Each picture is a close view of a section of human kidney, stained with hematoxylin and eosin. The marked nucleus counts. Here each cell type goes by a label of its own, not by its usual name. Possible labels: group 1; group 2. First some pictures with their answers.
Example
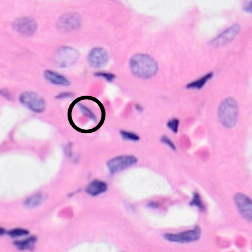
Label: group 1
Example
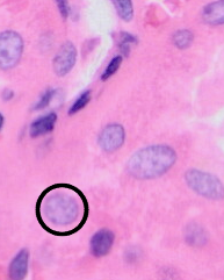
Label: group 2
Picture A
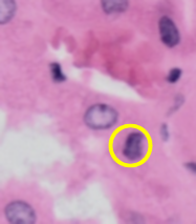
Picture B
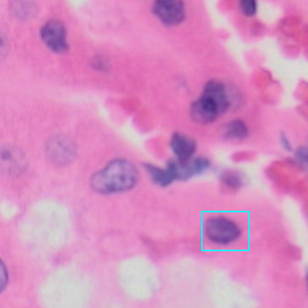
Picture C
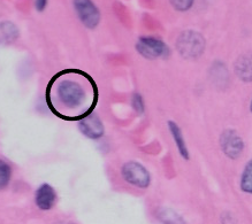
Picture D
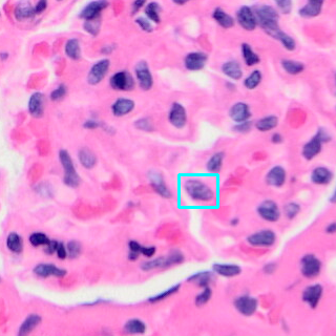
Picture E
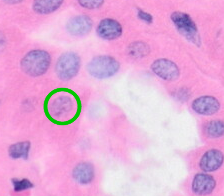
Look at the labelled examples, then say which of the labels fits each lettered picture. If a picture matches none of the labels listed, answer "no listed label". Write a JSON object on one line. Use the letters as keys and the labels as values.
{"A": "group 2", "B": "group 2", "C": "no listed label", "D": "group 1", "E": "no listed label"}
